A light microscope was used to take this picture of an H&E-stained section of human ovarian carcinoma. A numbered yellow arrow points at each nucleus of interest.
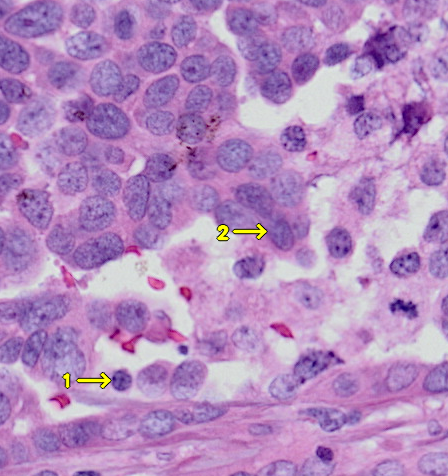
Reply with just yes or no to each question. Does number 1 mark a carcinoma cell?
no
